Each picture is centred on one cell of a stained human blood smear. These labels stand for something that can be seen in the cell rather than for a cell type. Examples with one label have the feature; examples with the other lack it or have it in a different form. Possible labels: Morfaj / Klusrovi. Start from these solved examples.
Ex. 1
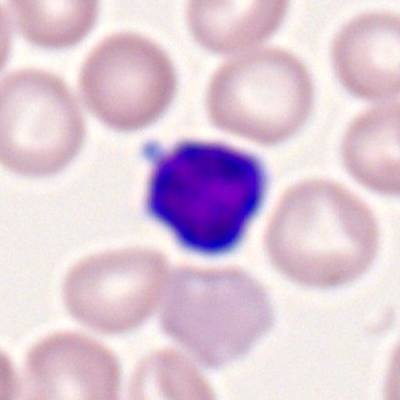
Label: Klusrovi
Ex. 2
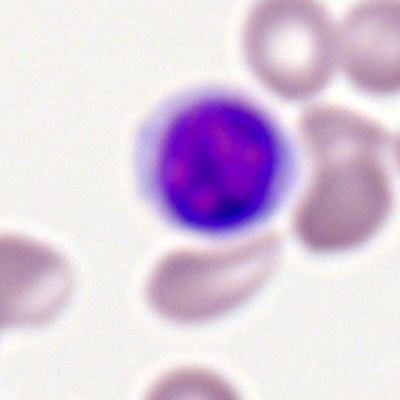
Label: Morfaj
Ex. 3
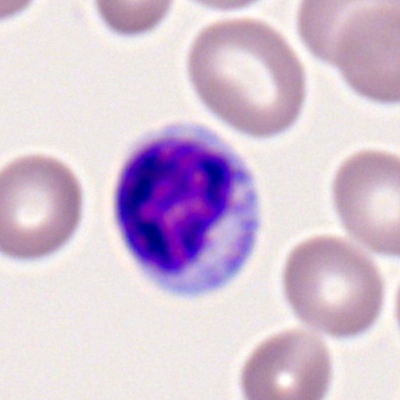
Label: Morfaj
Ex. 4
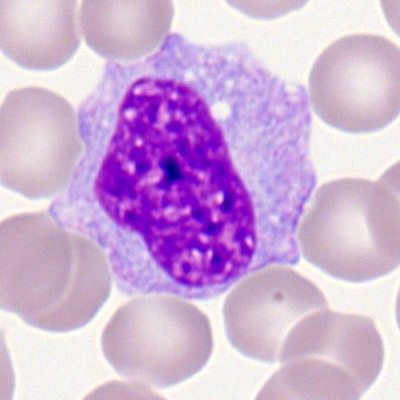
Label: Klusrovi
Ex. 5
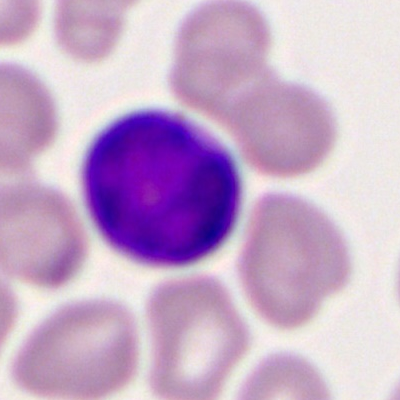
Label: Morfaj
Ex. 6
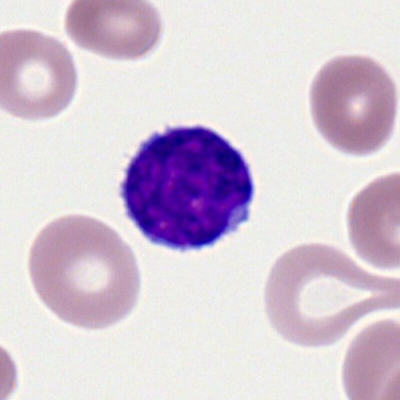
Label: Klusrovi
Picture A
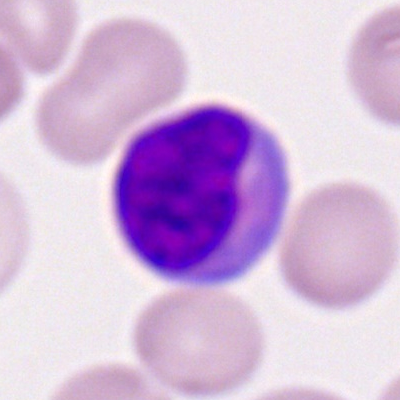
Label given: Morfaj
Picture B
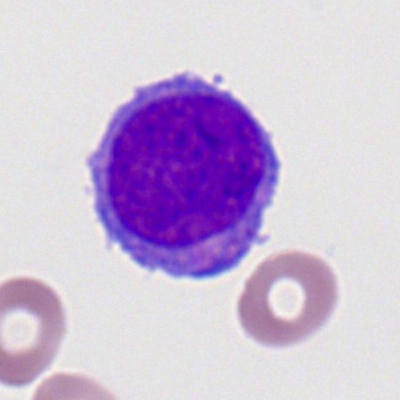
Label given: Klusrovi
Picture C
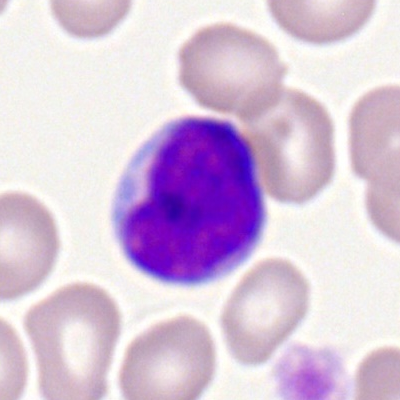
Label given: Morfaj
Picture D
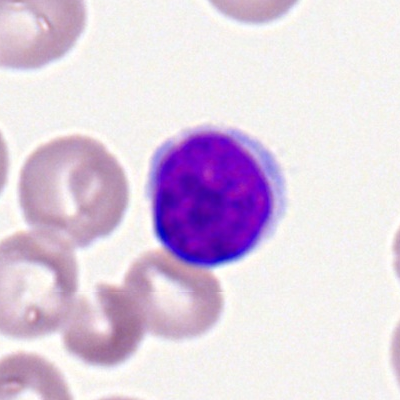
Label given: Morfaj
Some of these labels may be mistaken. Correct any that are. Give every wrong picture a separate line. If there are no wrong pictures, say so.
Every label is right.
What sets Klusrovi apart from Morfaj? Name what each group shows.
Seen in Klusrovi: ragged outline or projections; seen in Morfaj: smooth outline.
